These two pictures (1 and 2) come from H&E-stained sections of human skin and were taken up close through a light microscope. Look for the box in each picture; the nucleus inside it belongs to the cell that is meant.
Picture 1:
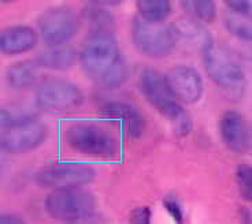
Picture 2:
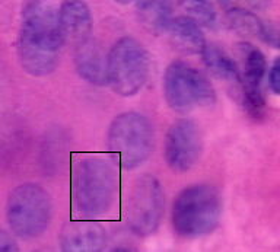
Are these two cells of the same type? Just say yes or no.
no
